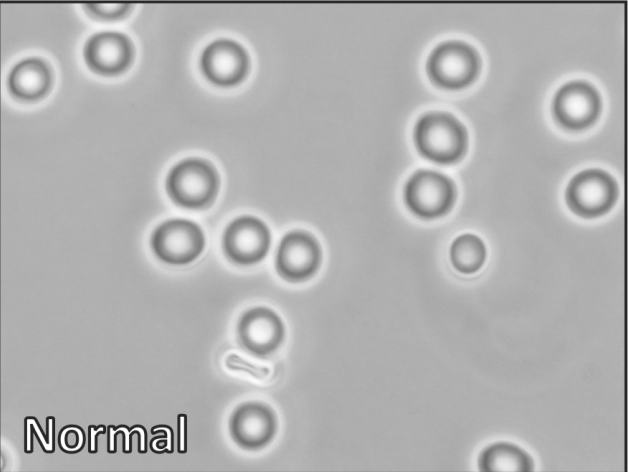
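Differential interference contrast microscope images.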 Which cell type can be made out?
erythrocytes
